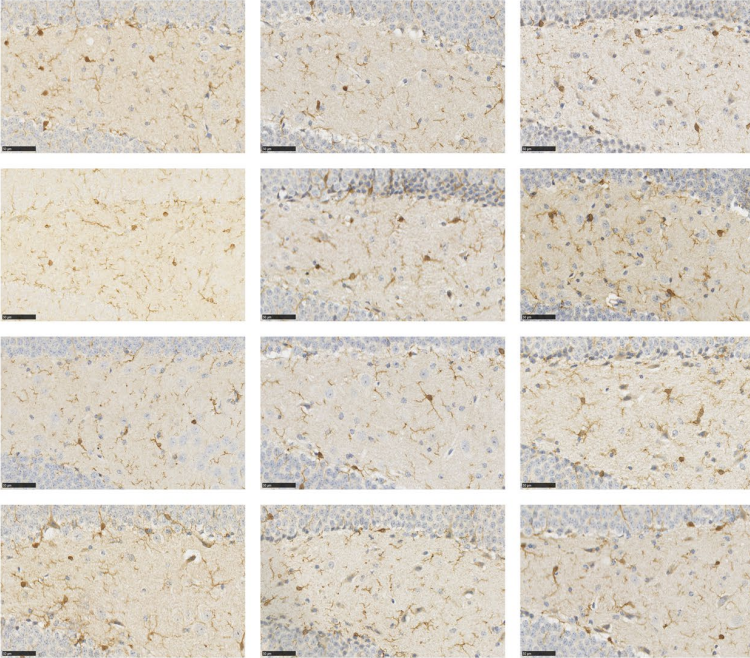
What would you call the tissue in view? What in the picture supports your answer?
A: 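Curved bands of densely packed small round blue nuclei border the images. A less cellular region lies between the dense bands of nuclei.
Answer: dentate gyrus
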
